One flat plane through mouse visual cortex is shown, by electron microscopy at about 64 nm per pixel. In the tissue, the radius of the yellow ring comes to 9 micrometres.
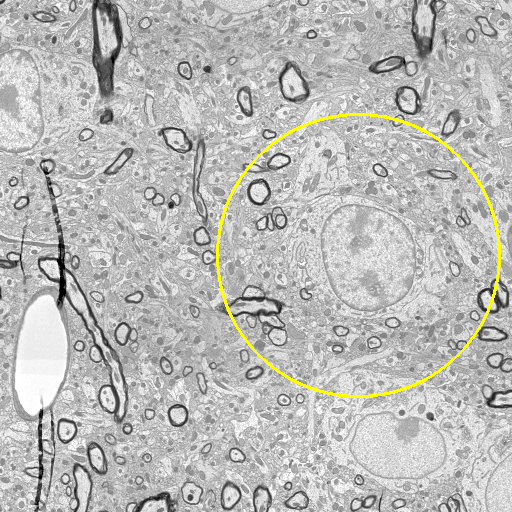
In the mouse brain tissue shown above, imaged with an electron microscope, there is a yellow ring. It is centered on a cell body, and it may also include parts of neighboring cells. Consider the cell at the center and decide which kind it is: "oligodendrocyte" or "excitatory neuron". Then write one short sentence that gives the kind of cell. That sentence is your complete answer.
This centered cell body is that of an oligodendrocyte.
